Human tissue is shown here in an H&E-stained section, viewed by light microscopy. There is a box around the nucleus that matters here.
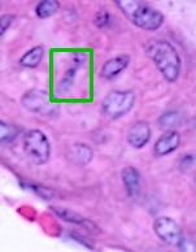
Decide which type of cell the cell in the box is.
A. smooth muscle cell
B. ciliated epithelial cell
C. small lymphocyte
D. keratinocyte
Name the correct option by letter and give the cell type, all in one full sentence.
The correct choice is option A; the cell in the box is a smooth muscle cell.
